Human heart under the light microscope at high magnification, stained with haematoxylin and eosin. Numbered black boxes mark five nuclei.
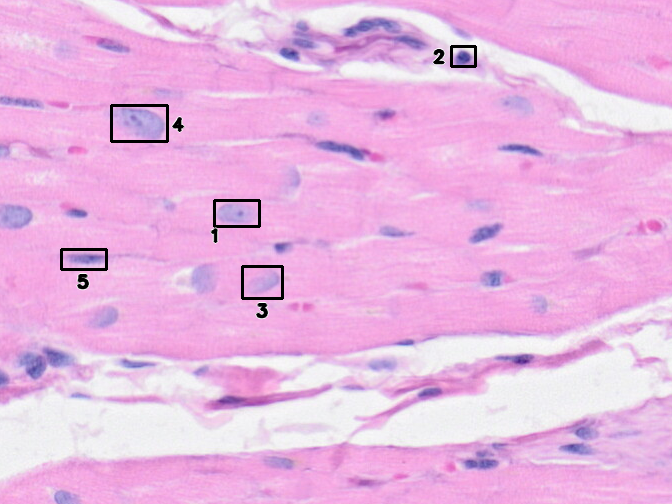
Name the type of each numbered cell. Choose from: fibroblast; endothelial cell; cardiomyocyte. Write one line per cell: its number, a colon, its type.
1: cardiomyocyte
2: fibroblast
3: cardiomyocyte
4: cardiomyocyte
5: endothelial cell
